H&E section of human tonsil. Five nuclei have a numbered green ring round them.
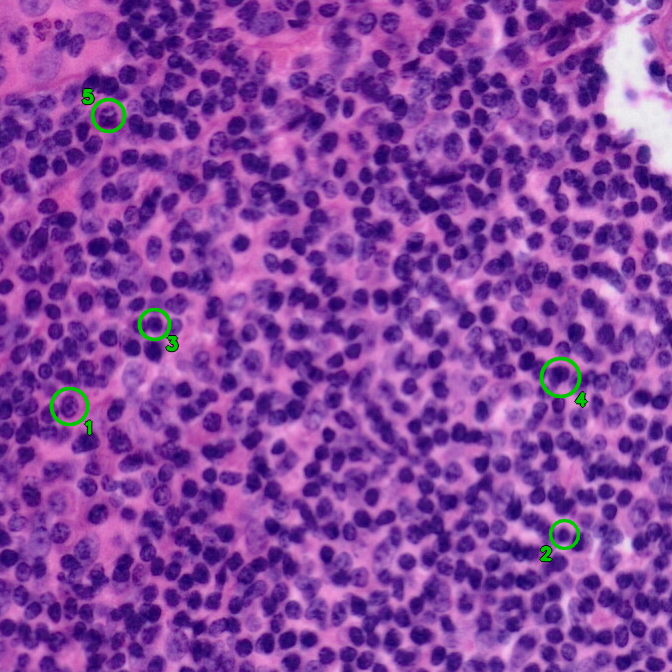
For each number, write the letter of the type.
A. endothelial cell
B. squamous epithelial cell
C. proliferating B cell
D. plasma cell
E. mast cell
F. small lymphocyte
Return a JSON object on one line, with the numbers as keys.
{"1": "D", "2": "F", "3": "F", "4": "F", "5": "D"}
